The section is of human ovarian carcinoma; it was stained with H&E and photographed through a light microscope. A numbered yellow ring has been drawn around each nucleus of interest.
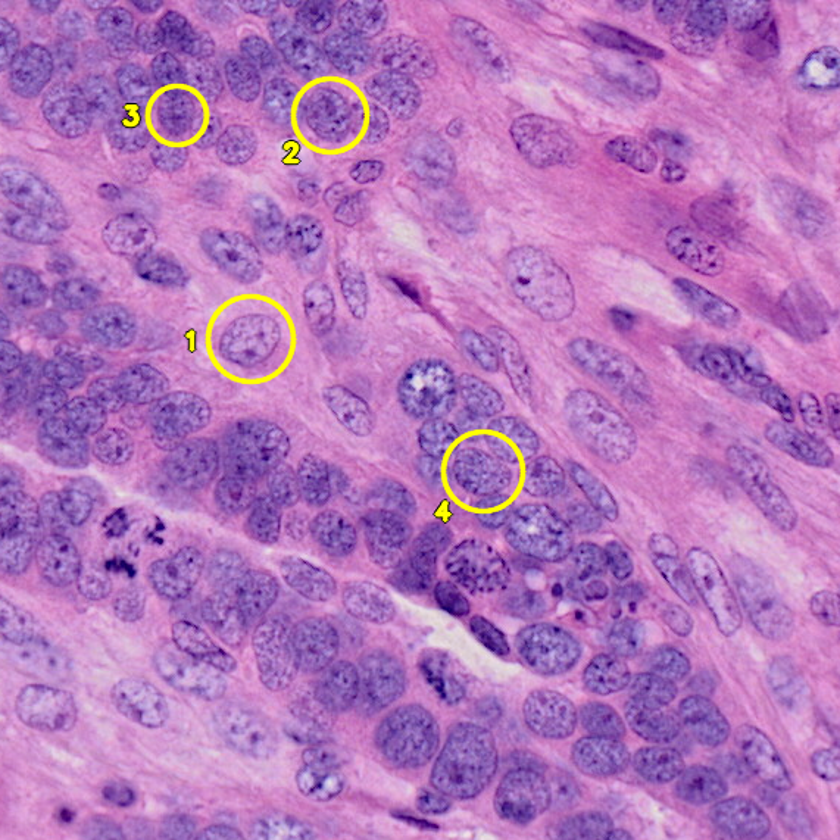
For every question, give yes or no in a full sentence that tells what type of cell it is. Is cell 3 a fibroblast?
No, the cell referred to as 3 is a carcinoma cell, not a fibroblast.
